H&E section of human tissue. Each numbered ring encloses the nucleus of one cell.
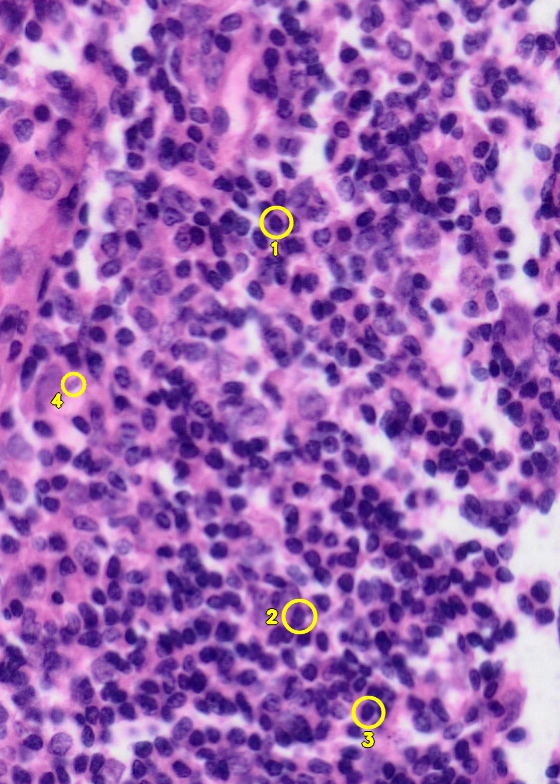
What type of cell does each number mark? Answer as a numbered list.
1. small lymphocyte
2. small lymphocyte
3. small lymphocyte
4. endothelial cell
